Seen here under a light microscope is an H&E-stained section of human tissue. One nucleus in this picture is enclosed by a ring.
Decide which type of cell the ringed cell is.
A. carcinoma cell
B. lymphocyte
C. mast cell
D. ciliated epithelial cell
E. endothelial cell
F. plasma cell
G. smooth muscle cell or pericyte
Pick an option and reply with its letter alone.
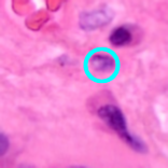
C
